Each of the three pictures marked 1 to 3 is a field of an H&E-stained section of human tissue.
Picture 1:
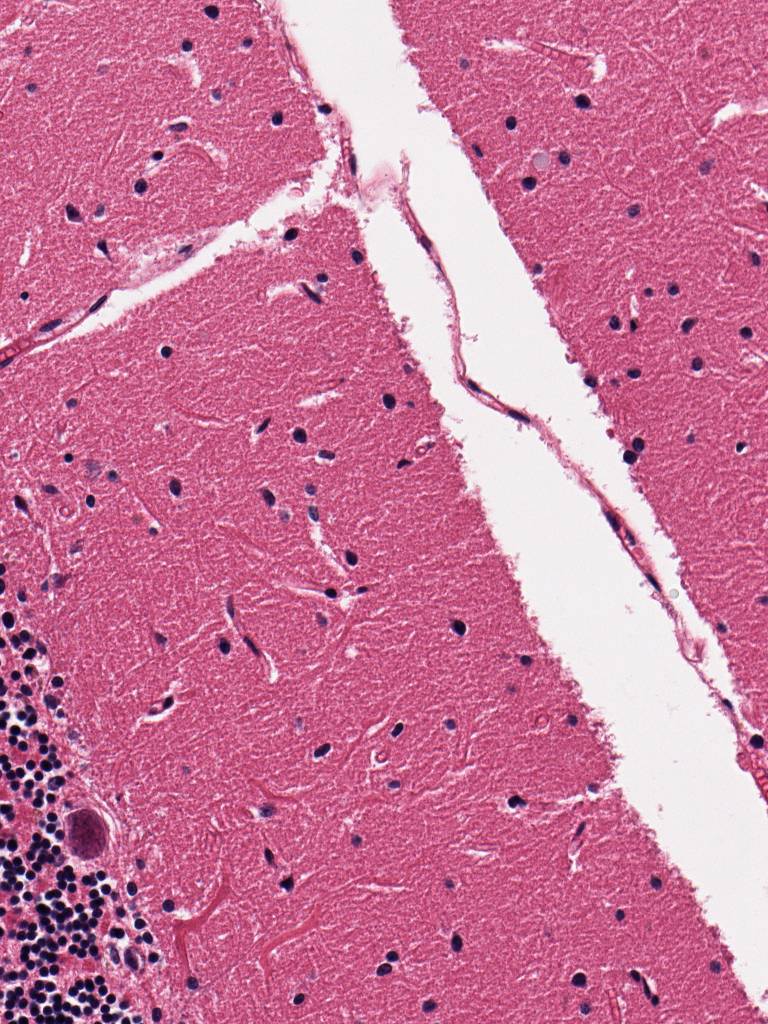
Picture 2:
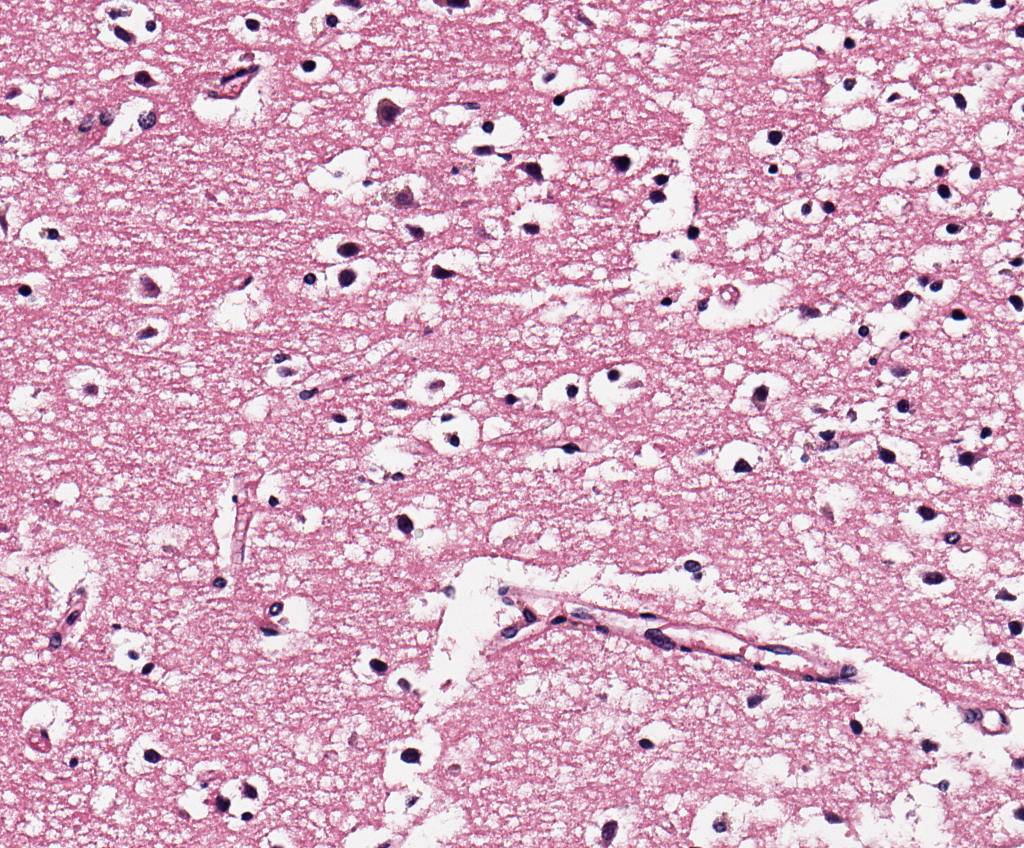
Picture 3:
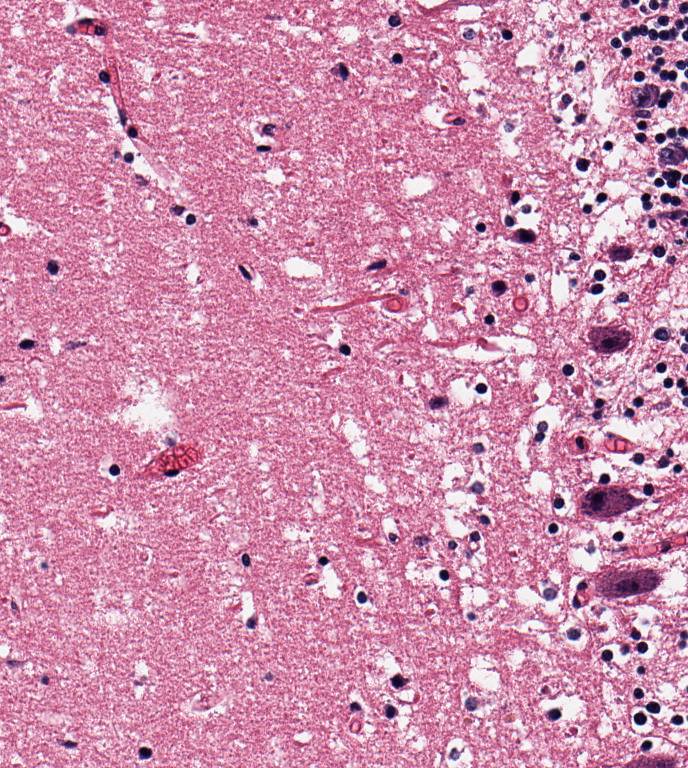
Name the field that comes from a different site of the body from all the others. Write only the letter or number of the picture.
2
